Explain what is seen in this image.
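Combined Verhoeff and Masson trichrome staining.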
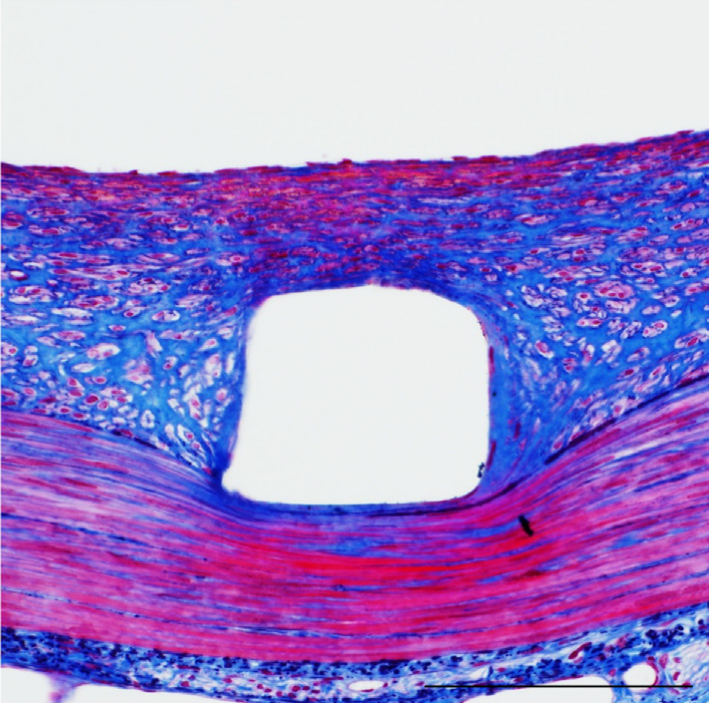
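A squarish empty space sits in the tissue, covered above by a thick, dense layer crowded with elongated and oval cells with red-purple cytoplasm in a blue matrix, and resting on a band of long parallel red fibres. A thin layer of dark nuclei runs along the lowest edge.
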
